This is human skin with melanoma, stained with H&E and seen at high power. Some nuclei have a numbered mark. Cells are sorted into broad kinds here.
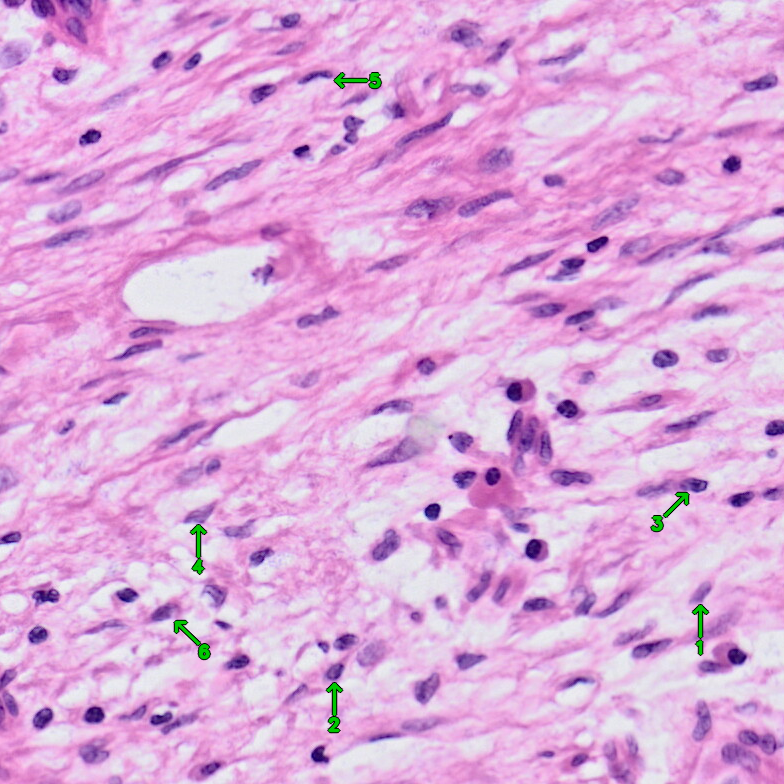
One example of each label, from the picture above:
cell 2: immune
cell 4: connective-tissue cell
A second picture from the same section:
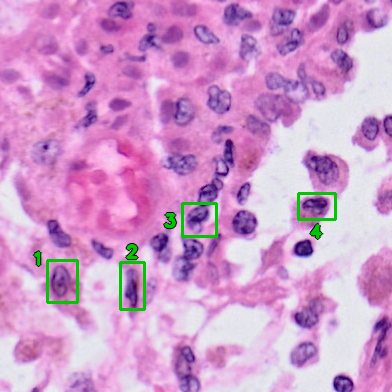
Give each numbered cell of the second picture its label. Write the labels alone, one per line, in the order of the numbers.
immune
immune
immune
immune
